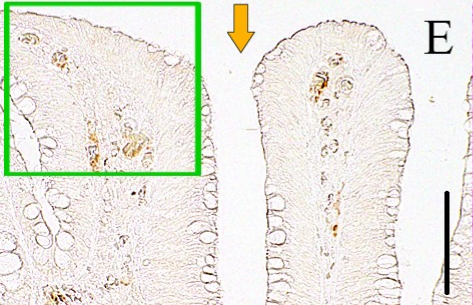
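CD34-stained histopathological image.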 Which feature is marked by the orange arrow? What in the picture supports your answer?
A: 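The arrow points into a gap that opens at the surface between two rounded mucosal tops. The gap is lined on both sides by a single layer of epithelium.
Hence: pit.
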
